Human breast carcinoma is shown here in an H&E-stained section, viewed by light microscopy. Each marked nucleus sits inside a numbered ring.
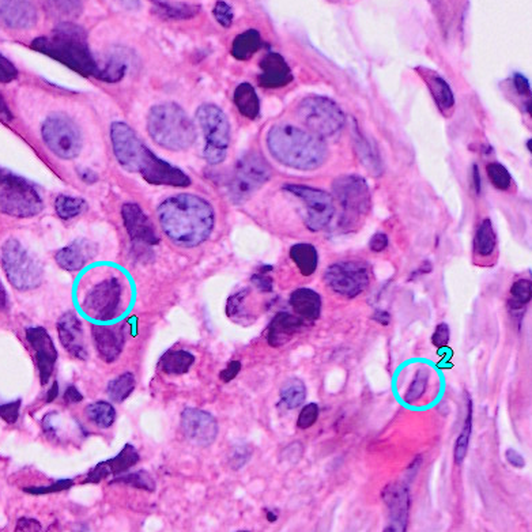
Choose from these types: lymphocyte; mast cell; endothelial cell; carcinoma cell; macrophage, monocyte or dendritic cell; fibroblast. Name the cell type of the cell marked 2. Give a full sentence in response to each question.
The cell indicated with the number 2 is classed as an endothelial cell.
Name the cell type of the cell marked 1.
Cell 1 is classified as a carcinoma cell.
